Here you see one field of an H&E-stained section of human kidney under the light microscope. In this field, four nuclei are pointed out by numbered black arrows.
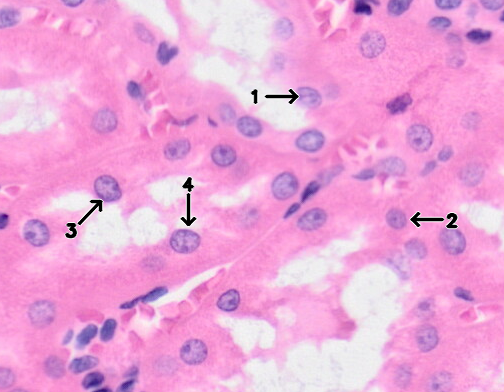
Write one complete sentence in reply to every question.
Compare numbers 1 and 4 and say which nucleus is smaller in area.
It is nucleus 1; nucleus 4 has about 1.5 times its area.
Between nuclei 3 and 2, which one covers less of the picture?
With nucleus 3 about 2 times its size, nucleus 2 is the smaller of the two.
